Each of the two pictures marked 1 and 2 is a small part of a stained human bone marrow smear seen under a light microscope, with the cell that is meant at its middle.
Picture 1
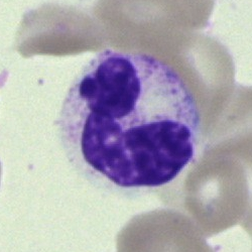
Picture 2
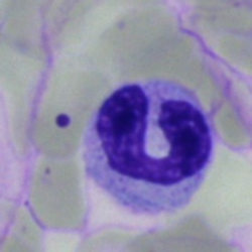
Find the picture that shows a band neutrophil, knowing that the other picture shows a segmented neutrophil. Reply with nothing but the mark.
2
